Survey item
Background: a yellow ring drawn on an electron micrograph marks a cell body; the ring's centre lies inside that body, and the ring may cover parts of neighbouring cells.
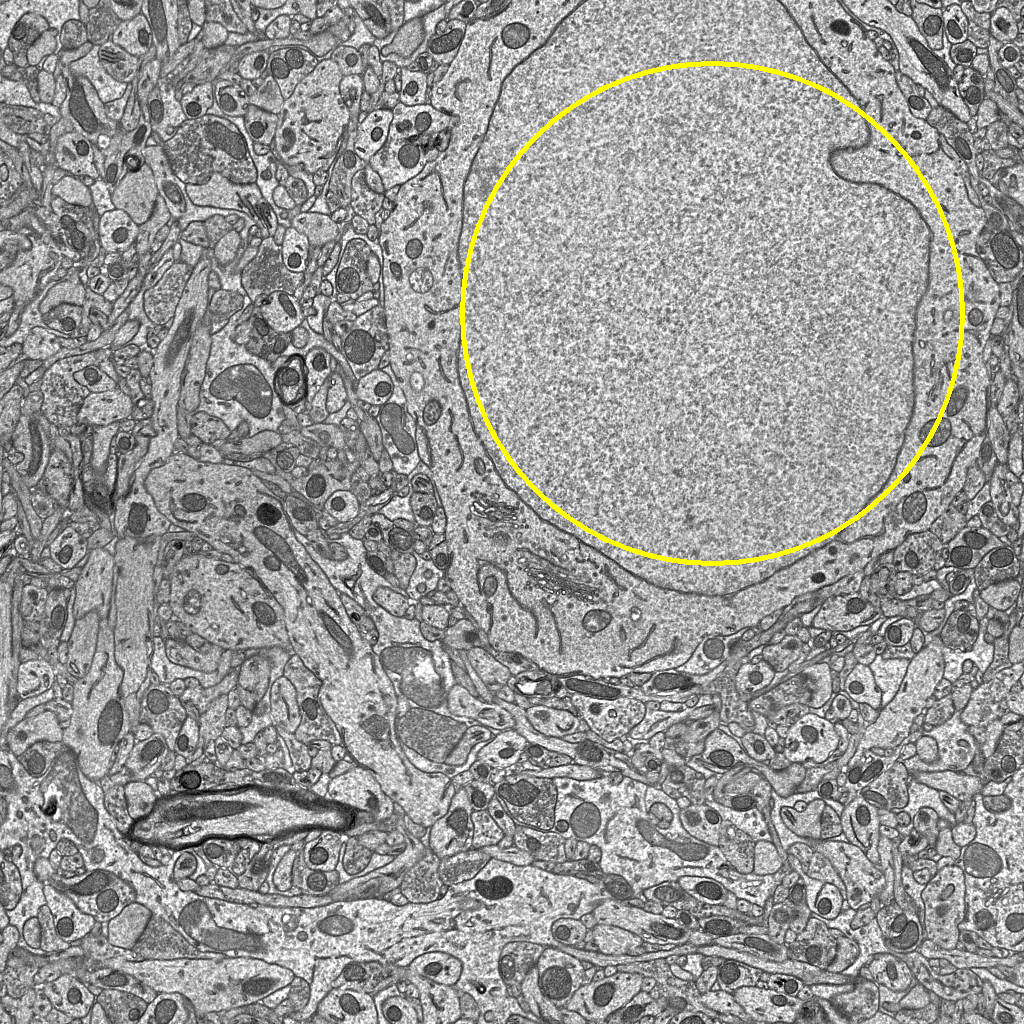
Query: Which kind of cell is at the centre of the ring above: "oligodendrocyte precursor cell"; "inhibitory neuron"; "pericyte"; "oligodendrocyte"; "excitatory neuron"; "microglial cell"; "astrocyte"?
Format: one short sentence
The cell in the middle of the ring is an excitatory neuron.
